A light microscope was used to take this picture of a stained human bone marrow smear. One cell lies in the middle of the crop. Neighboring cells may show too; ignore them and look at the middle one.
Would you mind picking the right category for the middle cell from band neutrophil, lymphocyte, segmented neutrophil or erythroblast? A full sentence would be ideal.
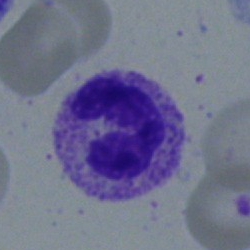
The cell at the middle of the crop is recognized as a band neutrophil.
